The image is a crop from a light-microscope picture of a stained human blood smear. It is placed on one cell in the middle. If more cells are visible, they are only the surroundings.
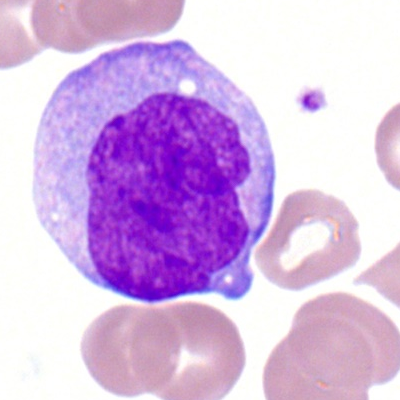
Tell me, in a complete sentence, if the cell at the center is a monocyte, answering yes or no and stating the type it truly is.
Yes, at the centre of the crop lies a monocyte.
